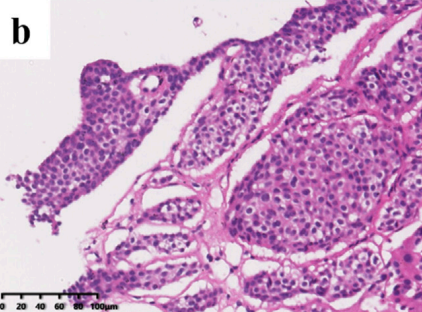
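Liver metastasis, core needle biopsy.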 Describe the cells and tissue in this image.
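Nests and strands of tumor cells lie in a loose, pale pink fibrous stroma. The cells are crowded, with round to oval purple nuclei of fairly even size and a small amount of pink cytoplasm. The nuclei show little variation, fitting tumor cells in solid nest or cribriform pattern with low atypia.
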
